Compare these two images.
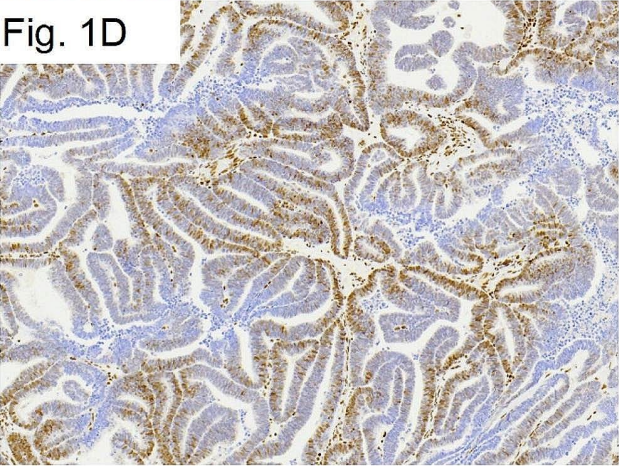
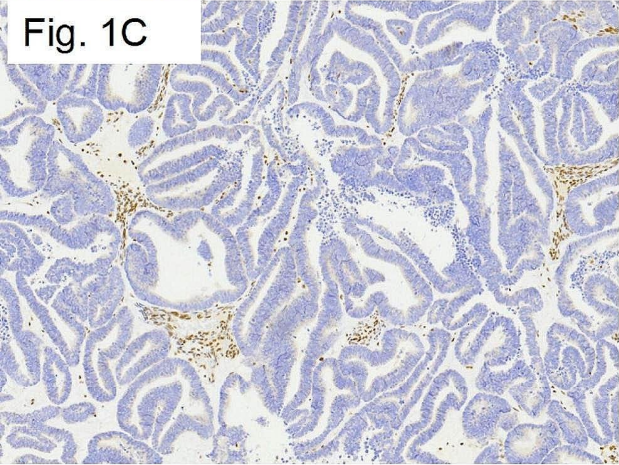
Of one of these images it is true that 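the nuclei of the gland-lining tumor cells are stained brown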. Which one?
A: The first image.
